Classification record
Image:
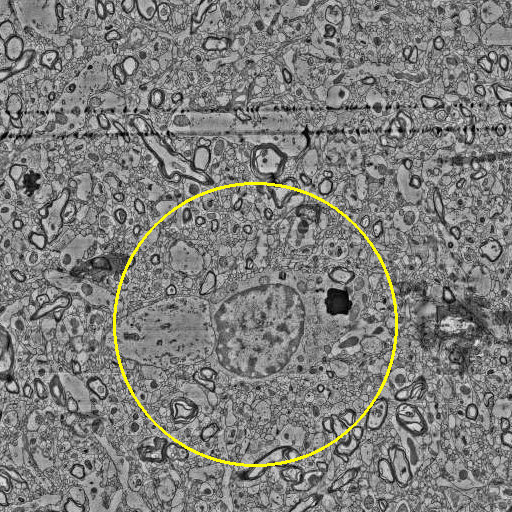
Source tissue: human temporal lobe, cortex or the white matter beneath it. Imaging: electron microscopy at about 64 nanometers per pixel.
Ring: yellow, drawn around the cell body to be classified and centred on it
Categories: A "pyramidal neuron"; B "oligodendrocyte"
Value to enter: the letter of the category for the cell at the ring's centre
B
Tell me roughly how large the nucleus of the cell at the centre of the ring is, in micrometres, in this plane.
The nucleus of the ringed cell is approximately 6 micrometres across in this plane.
